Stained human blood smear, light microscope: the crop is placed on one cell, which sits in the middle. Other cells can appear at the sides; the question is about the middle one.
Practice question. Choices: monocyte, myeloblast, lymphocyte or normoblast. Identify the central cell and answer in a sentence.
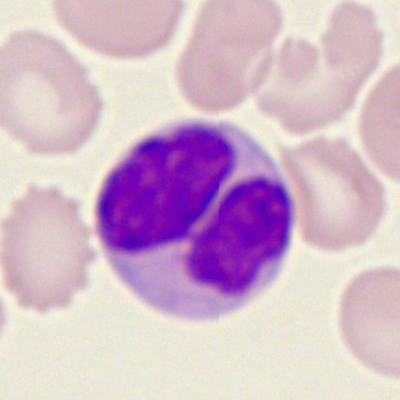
The identification for the central cell is a monocyte.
